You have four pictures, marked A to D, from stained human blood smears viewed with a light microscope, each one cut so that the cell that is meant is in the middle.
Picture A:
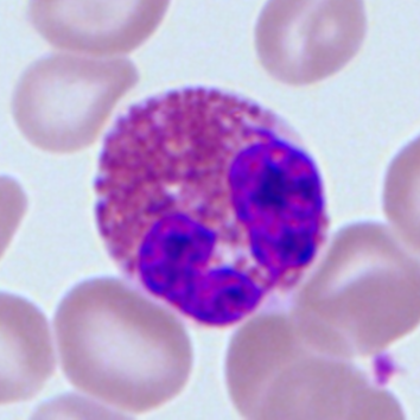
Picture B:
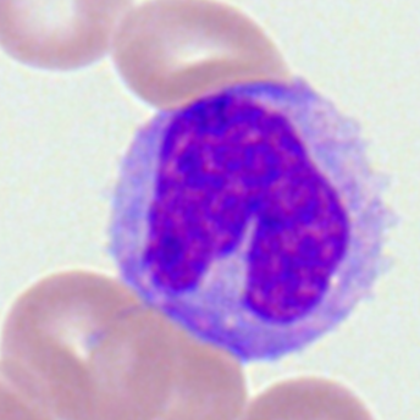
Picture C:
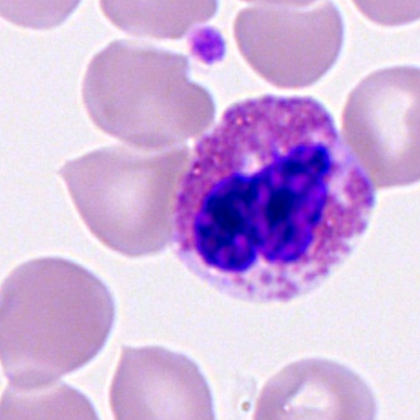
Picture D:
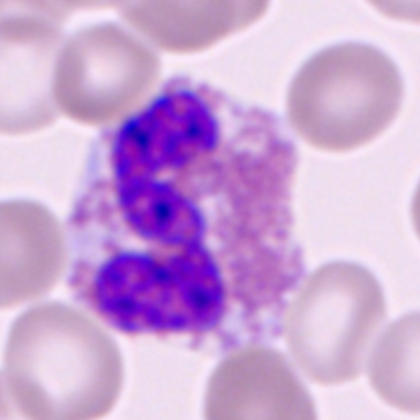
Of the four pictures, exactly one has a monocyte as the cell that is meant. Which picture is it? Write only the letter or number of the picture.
B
